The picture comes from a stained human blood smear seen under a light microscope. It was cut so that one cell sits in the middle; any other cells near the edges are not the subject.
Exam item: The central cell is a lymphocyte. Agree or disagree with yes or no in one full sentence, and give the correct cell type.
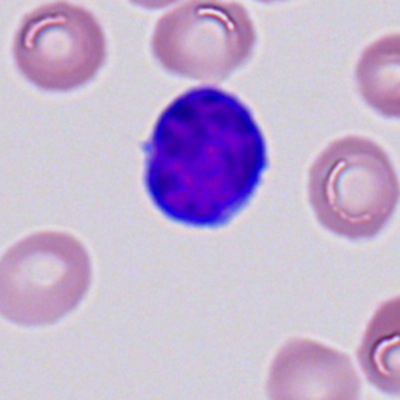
Yes, the middle cell is properly termed a lymphocyte.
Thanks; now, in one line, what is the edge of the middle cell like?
A smooth, projection-free outline is what this cell has.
